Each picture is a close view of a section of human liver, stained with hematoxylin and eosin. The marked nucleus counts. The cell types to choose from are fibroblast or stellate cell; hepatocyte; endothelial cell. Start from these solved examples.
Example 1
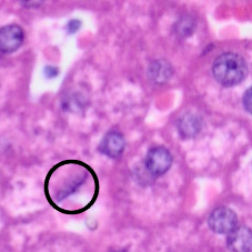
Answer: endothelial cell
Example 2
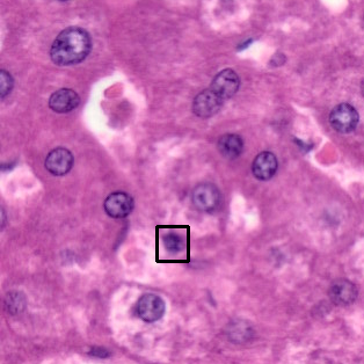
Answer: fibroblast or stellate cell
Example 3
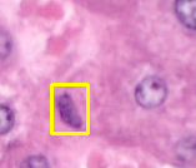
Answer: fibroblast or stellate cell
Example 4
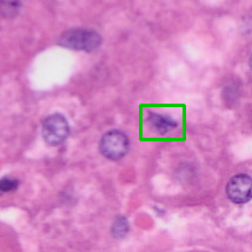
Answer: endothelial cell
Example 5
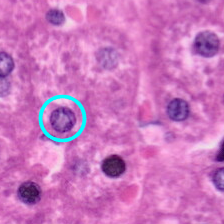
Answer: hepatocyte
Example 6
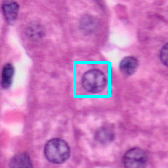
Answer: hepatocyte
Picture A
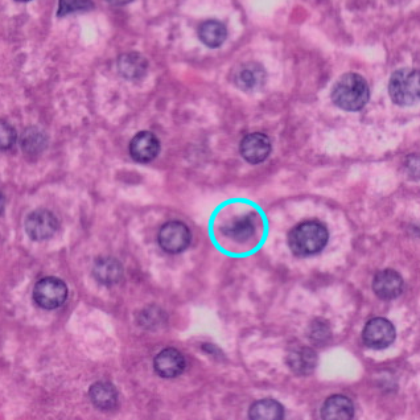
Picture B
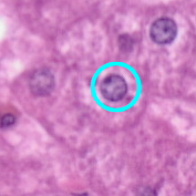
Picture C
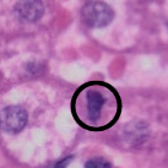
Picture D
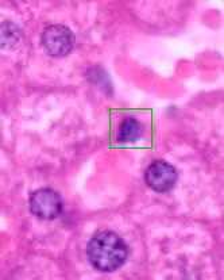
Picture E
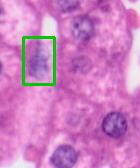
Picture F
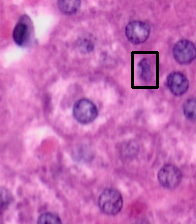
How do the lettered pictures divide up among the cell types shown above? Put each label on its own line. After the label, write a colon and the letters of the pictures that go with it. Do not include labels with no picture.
fibroblast or stellate cell: C, D
hepatocyte: B
endothelial cell: A, E, F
